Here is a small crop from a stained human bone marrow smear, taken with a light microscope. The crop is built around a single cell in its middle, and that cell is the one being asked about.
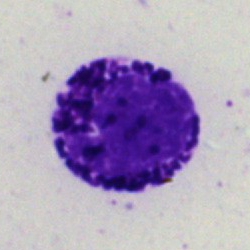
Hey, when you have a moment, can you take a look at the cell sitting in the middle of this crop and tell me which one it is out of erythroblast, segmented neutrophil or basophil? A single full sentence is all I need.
The centered cell in this crop is a basophil.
